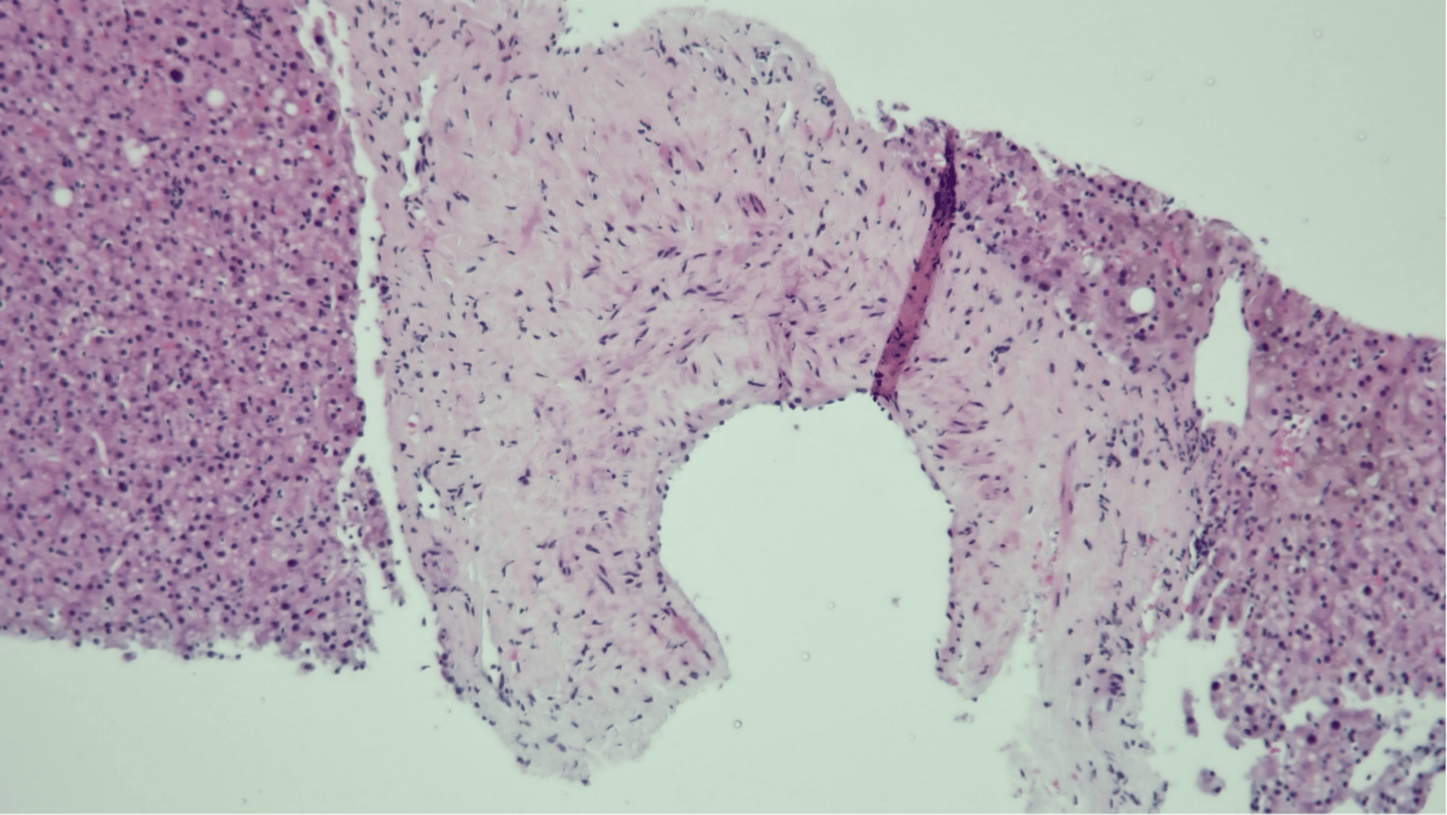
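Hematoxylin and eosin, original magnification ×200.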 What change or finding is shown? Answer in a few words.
Fibrous stroma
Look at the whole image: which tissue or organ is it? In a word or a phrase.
Liver.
